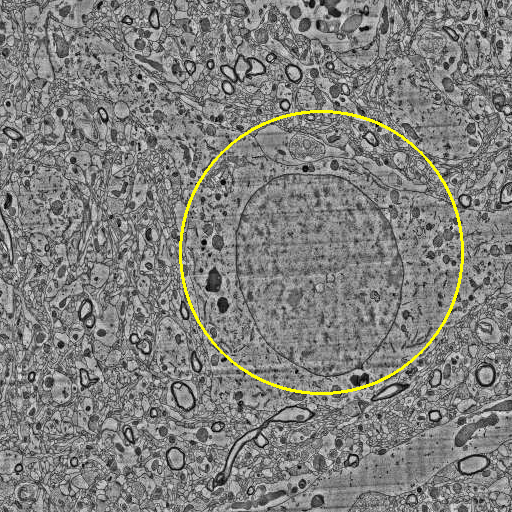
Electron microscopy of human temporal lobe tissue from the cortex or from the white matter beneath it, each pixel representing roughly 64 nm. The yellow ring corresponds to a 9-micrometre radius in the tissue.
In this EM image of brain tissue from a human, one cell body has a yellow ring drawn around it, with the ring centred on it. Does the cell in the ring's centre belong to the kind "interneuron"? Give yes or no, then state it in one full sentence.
No, in the picture, the cell centred in the yellow ring belongs to another kind.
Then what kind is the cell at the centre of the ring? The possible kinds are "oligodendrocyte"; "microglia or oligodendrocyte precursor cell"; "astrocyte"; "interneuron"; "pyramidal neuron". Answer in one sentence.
The answer is that the ringed cell is a pyramidal neuron.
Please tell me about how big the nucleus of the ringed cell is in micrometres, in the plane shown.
The nucleus measures about 13 by 10 micrometres in this plane.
